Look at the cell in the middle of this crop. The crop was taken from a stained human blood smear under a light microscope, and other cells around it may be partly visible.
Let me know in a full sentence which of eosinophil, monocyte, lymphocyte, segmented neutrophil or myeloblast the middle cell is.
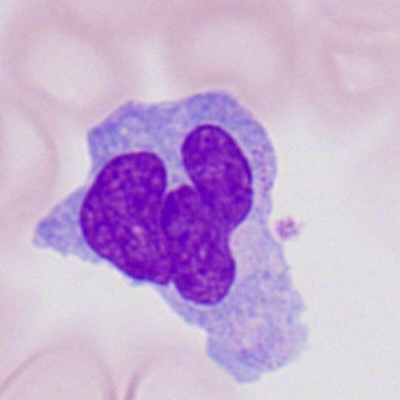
For this crop, the cell in the middle is a monocyte.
